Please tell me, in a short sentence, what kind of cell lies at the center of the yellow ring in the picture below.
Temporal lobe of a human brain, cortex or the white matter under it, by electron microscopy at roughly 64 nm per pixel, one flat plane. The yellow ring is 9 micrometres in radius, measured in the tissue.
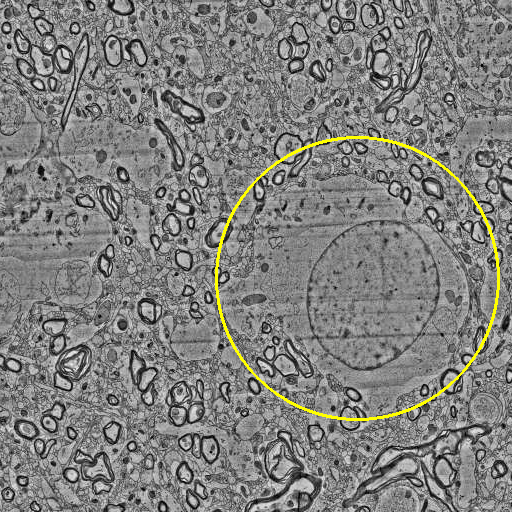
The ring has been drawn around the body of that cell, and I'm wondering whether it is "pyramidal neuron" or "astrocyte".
The cell at the center of the ring is an astrocyte.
